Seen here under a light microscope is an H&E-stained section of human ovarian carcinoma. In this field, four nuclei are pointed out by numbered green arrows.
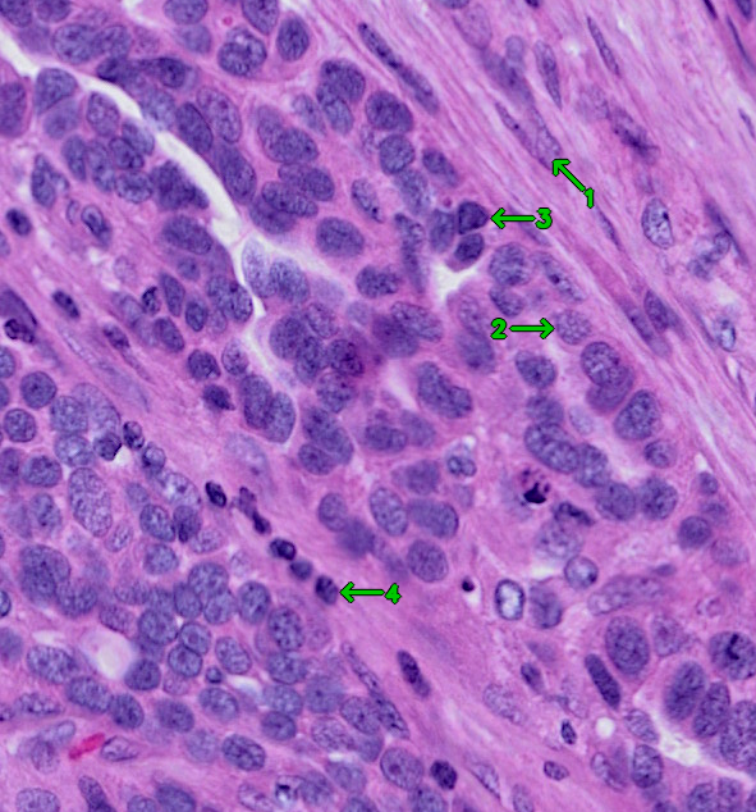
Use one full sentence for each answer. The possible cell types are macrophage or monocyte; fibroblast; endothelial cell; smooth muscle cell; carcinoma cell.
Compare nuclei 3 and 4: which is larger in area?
Nucleus 3 is the larger one, covering about 1.5 times the area of nucleus 4.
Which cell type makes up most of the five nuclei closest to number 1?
Around number 1, most of the five nearest nuclei are those of fibroblasts.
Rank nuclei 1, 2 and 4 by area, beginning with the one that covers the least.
Smallest first, the nuclei run 4, 2, 1.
